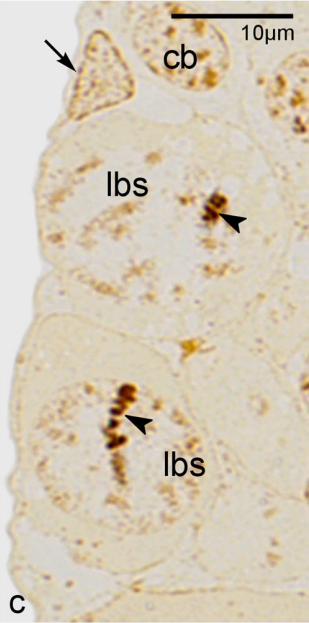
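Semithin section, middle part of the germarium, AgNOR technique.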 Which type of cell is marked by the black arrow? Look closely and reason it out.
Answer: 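Somatic cell. The marked cell is small and triangular, squeezed between larger round cells. It lacks the dark brown clusters of the large nuclei.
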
